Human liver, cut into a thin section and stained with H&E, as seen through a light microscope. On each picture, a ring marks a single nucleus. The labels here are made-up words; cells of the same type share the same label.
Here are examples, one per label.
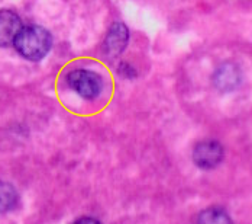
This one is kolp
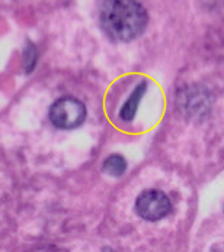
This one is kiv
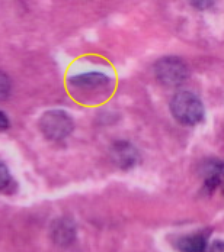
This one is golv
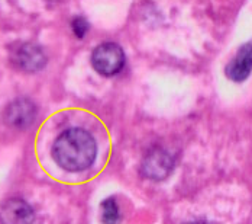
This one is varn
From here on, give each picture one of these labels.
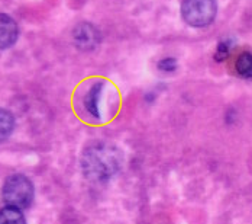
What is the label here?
golv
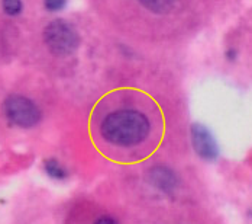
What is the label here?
varn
